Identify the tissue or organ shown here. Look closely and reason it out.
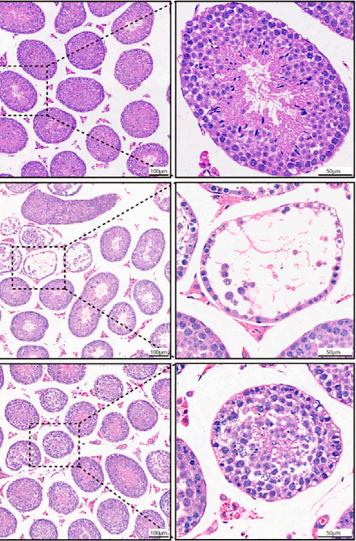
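Many round tubule cross-sections packed side by side. Tubule walls lined by layered small round cells with purple nuclei. Central lumens in the tubules, some containing thin pink strands. Loose stroma between the tubules.
Conclusion: testis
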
